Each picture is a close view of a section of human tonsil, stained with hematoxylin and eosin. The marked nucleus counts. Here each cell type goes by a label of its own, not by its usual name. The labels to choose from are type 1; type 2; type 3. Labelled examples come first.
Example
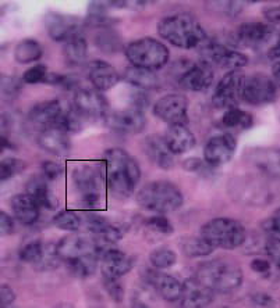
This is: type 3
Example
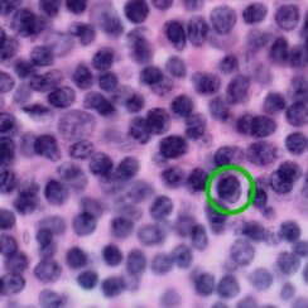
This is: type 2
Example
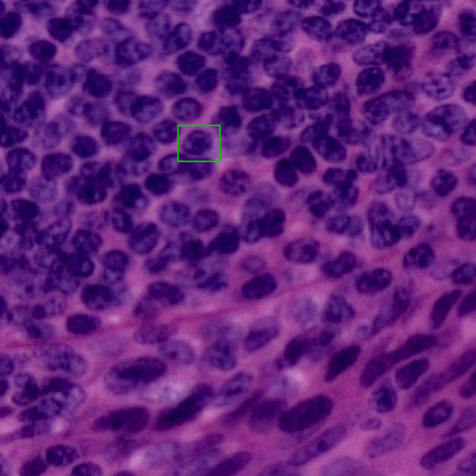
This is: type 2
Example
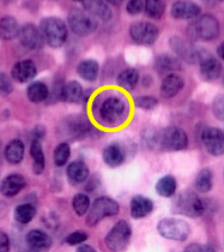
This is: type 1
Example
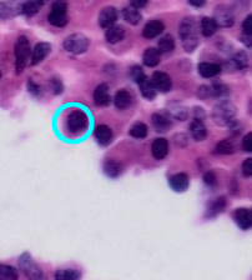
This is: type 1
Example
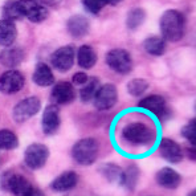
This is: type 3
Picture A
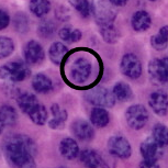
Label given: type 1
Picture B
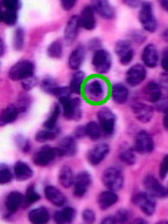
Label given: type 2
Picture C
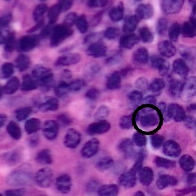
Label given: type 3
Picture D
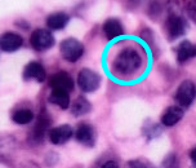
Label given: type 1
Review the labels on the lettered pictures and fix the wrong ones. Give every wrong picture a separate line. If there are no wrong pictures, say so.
C is labelled type 3; correct label: type 2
